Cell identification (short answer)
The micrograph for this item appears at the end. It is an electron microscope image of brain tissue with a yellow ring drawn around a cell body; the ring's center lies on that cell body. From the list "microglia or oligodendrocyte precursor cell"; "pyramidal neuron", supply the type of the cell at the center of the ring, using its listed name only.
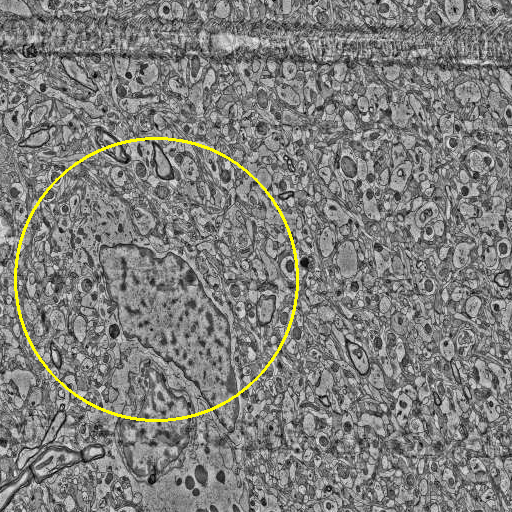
microglia or oligodendrocyte precursor cell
